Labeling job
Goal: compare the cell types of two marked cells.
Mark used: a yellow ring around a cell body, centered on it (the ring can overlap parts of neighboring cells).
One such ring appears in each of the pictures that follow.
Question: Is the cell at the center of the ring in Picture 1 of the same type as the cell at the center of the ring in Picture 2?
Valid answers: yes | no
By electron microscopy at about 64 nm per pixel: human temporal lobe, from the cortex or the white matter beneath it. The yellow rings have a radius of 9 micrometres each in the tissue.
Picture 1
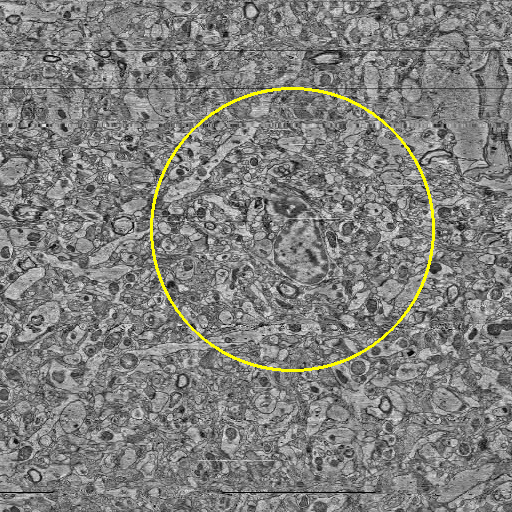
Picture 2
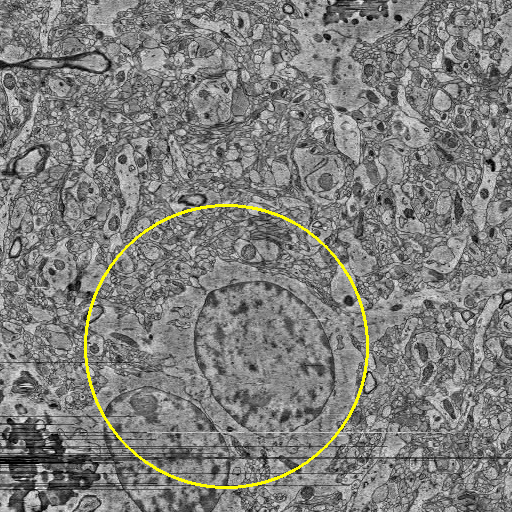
no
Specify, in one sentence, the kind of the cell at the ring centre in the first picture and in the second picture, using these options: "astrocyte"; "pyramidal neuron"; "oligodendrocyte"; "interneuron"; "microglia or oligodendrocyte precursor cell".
So the first is a microglial cell or oligodendrocyte precursor cell, the second an astrocyte.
